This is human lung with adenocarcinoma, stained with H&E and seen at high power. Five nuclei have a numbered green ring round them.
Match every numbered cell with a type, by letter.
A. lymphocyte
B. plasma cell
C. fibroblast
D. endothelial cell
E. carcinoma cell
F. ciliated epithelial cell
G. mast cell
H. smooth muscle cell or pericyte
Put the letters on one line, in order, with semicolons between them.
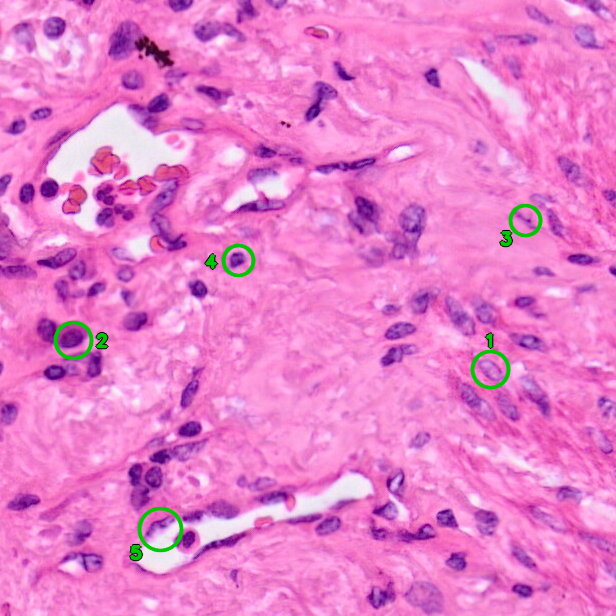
H; B; C; A; D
